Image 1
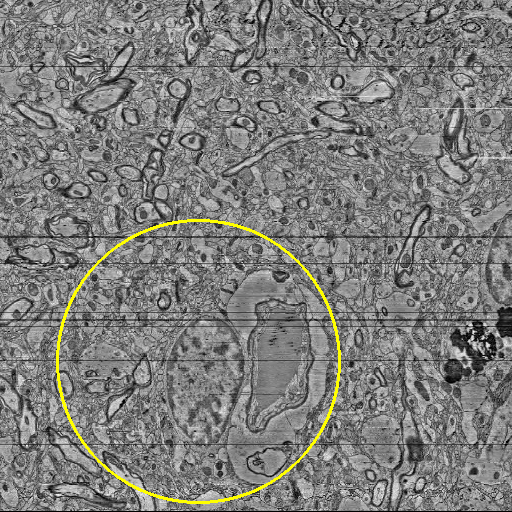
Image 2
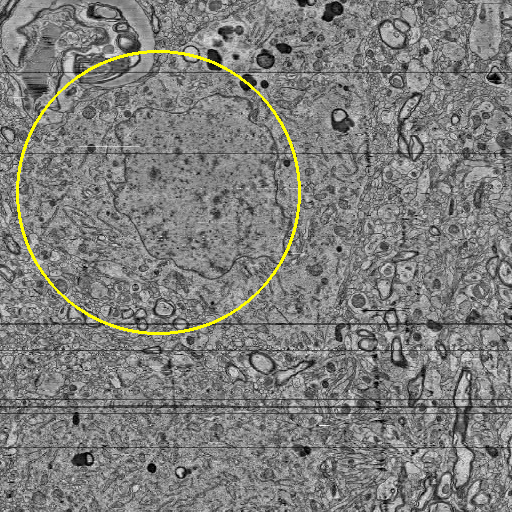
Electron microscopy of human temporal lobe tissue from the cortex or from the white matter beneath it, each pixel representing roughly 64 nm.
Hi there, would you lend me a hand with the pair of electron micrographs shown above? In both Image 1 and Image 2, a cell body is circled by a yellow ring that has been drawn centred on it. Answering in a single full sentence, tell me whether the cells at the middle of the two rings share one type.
No, the ringed cells in Image 1 and Image 2 belong to two types.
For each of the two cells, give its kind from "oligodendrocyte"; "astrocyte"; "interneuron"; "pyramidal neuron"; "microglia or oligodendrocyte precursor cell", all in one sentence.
The first picture has an oligodendrocyte in its ring, the second has a pyramidal neuron.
